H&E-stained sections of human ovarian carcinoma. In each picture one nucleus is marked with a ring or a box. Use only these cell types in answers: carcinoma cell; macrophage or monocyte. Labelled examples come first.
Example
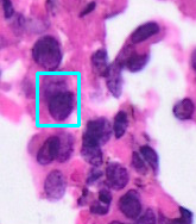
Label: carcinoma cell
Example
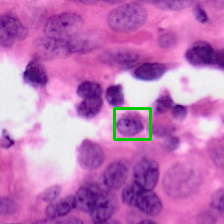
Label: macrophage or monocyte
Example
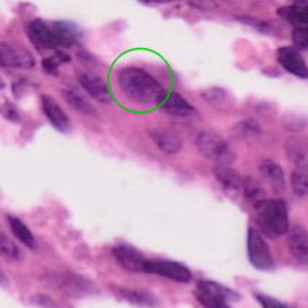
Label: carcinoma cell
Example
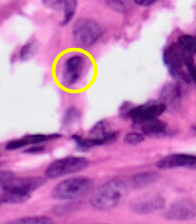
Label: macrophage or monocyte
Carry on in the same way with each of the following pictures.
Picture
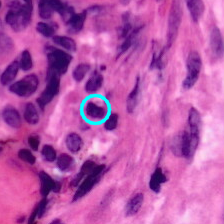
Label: macrophage or monocyte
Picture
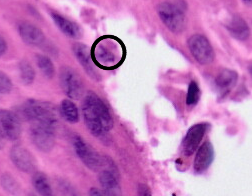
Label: macrophage or monocyte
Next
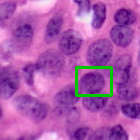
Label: carcinoma cell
